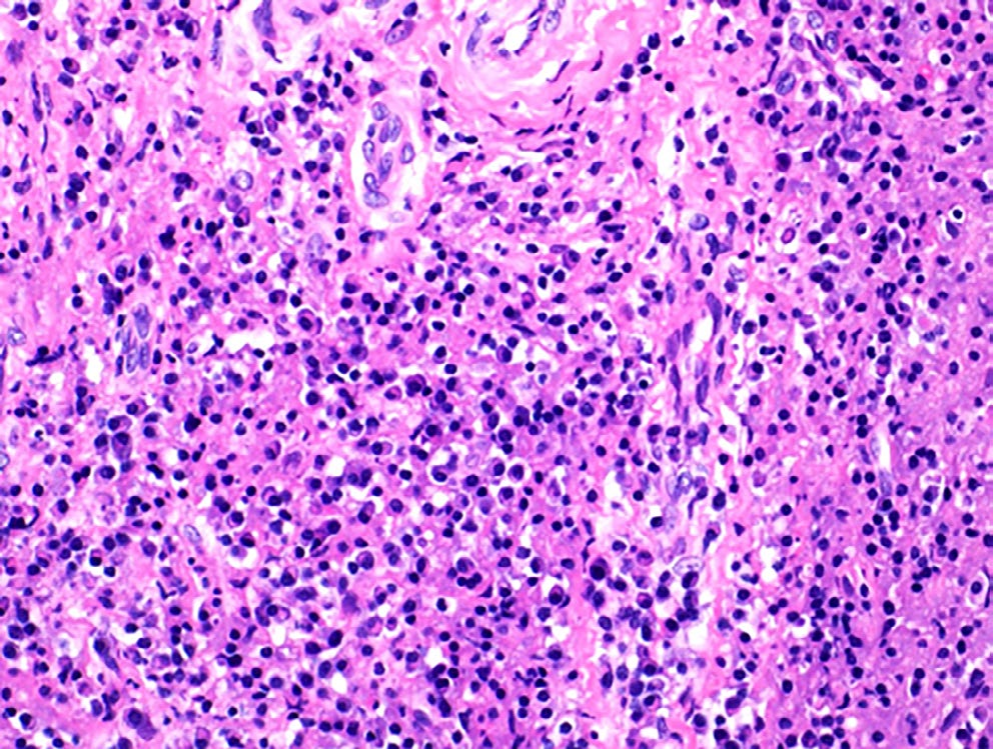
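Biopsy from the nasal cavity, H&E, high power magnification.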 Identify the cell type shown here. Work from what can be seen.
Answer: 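Plasma cells. A dense sheet of round to oval cells fills most of the field. Many cells have a small, dark, round nucleus set off to one side of the cell. The cytoplasm of these cells is moderate and purplish rather than scant.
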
